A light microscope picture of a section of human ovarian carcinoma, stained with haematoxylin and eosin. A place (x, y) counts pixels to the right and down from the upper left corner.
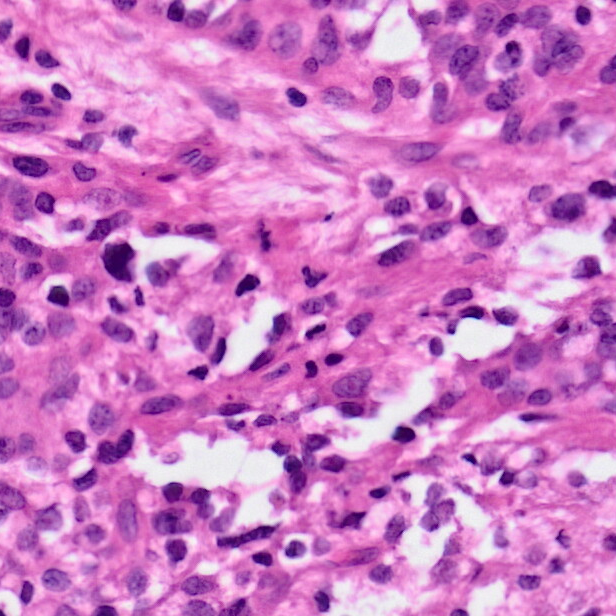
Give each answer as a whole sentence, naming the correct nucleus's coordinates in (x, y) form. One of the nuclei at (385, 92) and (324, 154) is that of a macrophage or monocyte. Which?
The pair contains one nucleus of a macrophage or monocyte, namely the one at (385, 92).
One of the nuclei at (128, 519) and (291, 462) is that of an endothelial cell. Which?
Among the two nuclei, the one lying at (128, 519) is part of an endothelial cell.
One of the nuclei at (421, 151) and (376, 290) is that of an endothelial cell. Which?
Housed in an endothelial cell is the nucleus at (421, 151), not the other one.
